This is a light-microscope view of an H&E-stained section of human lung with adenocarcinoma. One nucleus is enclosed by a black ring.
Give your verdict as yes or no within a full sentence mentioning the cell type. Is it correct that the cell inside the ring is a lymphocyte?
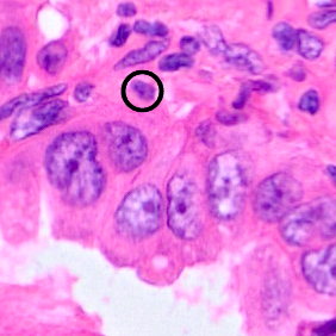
Yes, the cell inside the ring is a lymphocyte in this section.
